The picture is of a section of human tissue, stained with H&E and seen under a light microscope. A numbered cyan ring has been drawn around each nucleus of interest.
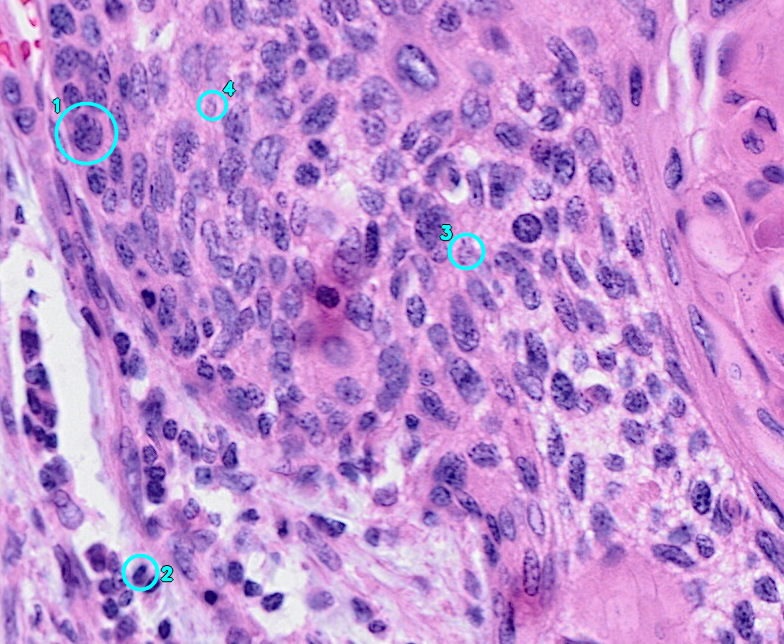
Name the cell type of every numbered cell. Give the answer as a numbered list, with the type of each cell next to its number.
1. squamous carcinoma cell
2. lymphocyte
3. squamous carcinoma cell
4. squamous carcinoma cell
